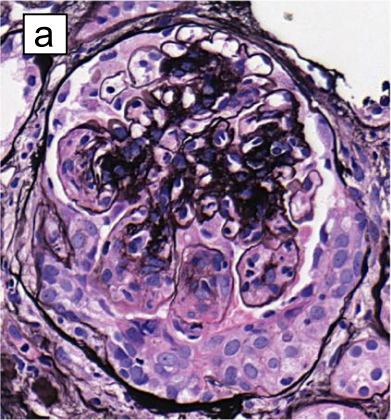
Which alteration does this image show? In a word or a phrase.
Extra-capillary cell proliferation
